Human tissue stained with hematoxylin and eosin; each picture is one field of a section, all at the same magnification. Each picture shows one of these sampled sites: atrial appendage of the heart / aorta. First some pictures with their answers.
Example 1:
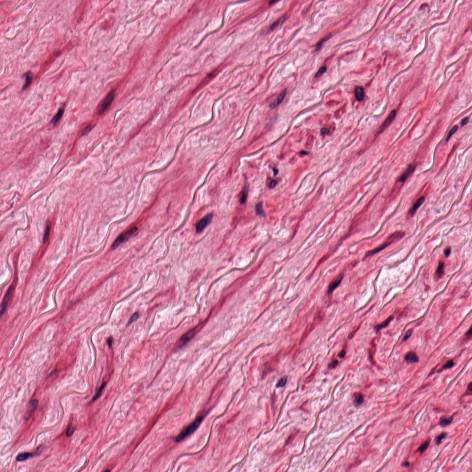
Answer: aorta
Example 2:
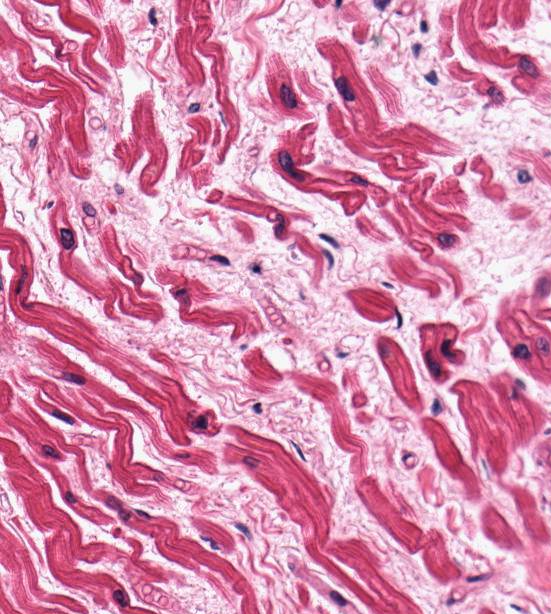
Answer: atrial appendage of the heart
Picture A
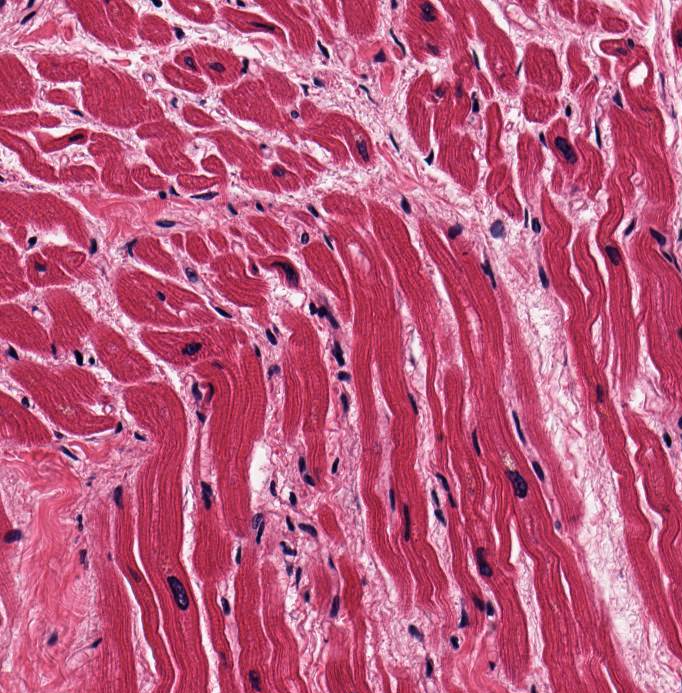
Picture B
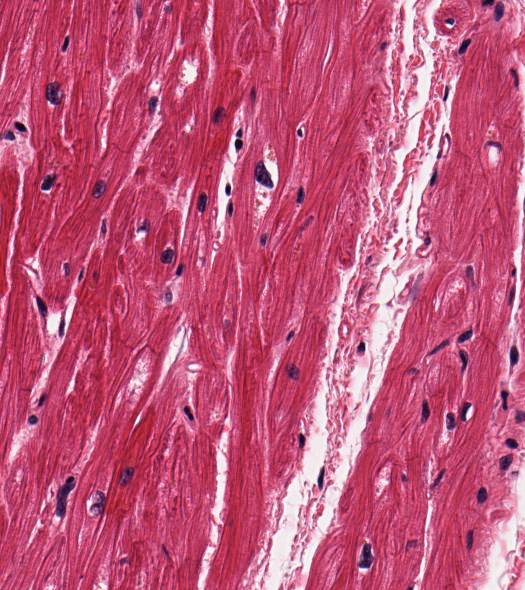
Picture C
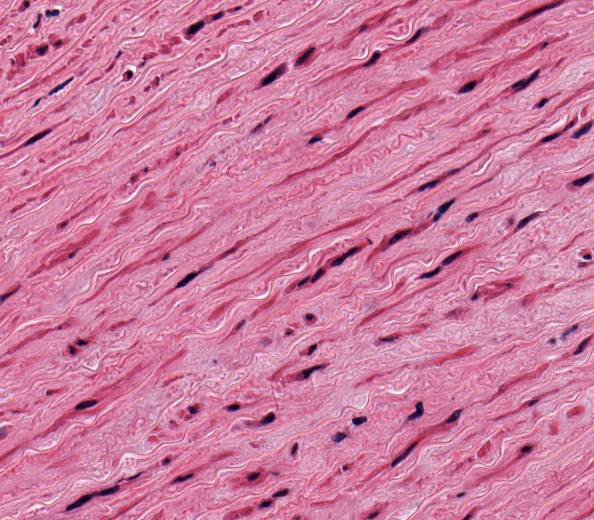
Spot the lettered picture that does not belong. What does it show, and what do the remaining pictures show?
Odd one out: C (aorta). The rest: atrial appendage of the heart.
